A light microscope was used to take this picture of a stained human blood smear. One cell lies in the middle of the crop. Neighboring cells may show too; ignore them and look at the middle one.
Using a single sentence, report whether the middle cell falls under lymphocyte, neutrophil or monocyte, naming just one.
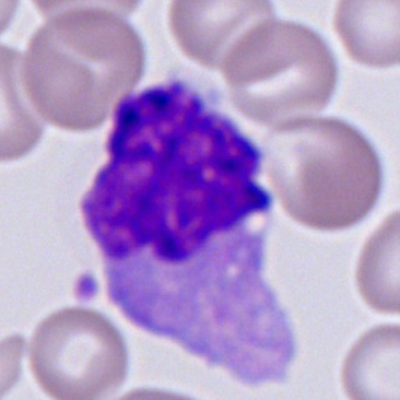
At the center of the crop sits a monocyte.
